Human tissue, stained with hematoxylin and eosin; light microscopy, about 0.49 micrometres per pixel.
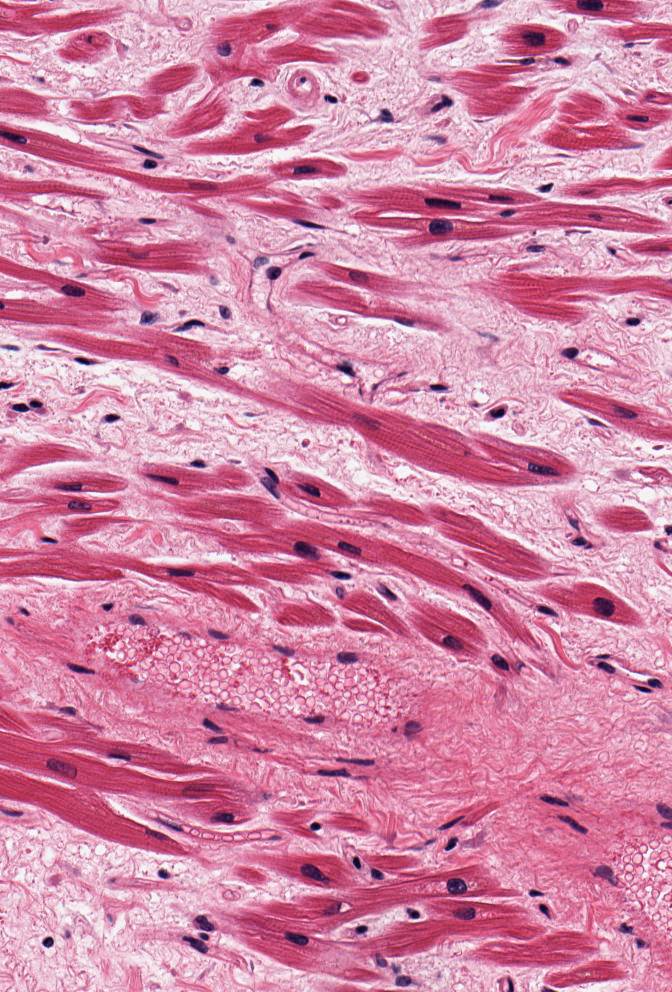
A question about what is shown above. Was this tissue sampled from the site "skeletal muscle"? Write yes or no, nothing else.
no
